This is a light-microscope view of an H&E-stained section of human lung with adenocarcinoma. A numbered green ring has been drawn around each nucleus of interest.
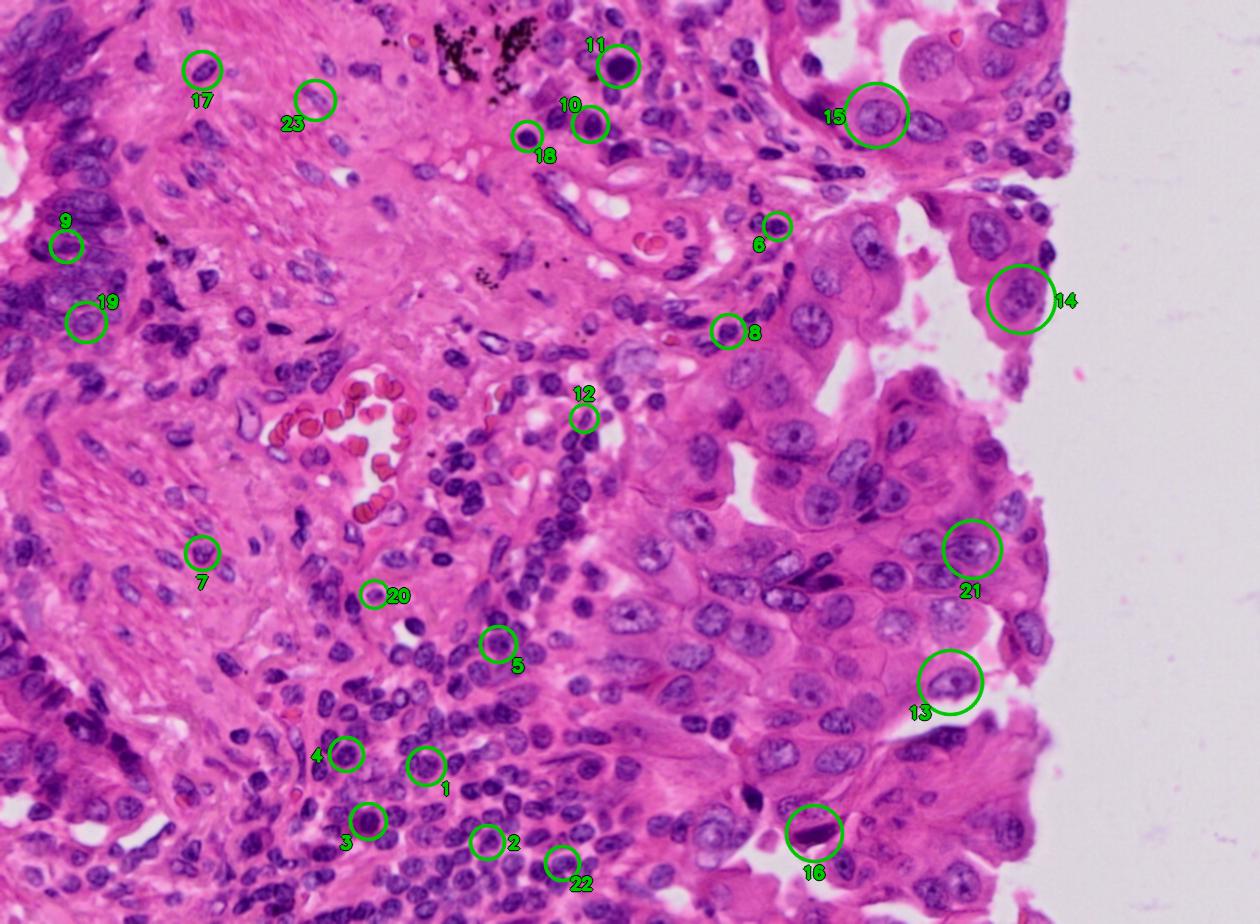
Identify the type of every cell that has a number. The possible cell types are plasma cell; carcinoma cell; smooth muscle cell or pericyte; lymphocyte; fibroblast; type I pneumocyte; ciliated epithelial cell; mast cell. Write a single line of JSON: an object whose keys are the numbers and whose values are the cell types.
{"1": "lymphocyte", "2": "lymphocyte", "3": "plasma cell", "4": "plasma cell", "5": "lymphocyte", "6": "lymphocyte", "7": "mast cell", "8": "lymphocyte", "9": "ciliated epithelial cell", "10": "plasma cell", "11": "plasma cell", "12": "lymphocyte", "13": "carcinoma cell", "14": "carcinoma cell", "15": "carcinoma cell", "16": "carcinoma cell", "17": "mast cell", "18": "lymphocyte", "19": "ciliated epithelial cell", "20": "lymphocyte", "21": "carcinoma cell", "22": "lymphocyte", "23": "smooth muscle cell or pericyte"}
